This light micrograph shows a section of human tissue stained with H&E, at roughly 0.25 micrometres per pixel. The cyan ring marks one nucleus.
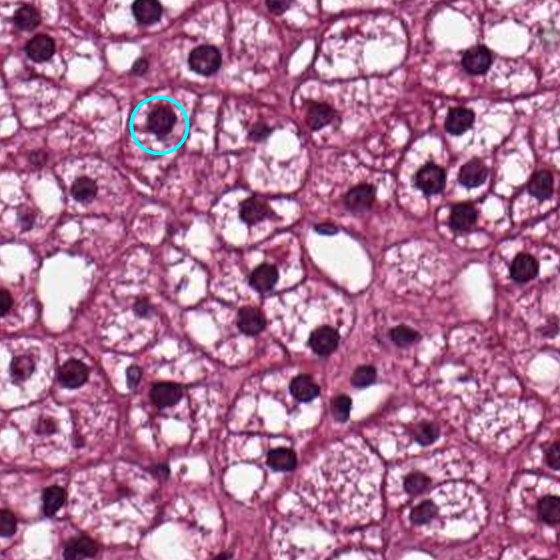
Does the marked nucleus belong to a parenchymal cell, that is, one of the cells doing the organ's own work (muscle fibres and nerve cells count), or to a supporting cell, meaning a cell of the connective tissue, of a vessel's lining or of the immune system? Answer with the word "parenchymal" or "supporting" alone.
parenchymal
